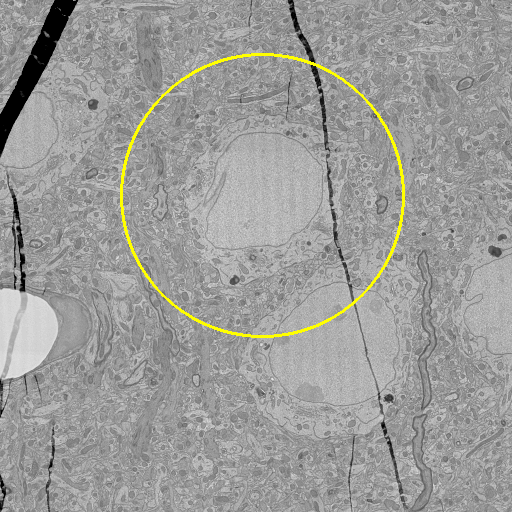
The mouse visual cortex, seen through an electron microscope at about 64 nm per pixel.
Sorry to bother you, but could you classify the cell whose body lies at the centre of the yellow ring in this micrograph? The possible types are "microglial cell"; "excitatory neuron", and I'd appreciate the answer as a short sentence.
The ringed cell body is that of an excitatory neuron.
